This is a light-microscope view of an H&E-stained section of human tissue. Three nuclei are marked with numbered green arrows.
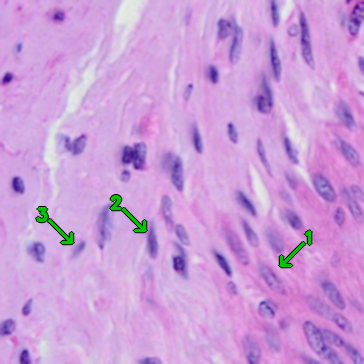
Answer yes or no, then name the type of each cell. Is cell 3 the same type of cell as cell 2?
Yes, cells 3 and 2 are both fibroblasts.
